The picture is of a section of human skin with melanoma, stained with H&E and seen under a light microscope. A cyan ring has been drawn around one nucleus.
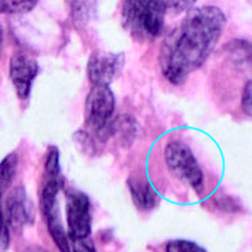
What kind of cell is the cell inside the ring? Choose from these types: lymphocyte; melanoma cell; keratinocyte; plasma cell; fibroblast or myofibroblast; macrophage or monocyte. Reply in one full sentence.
The identity of the cell inside the ring: it is a melanoma cell.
